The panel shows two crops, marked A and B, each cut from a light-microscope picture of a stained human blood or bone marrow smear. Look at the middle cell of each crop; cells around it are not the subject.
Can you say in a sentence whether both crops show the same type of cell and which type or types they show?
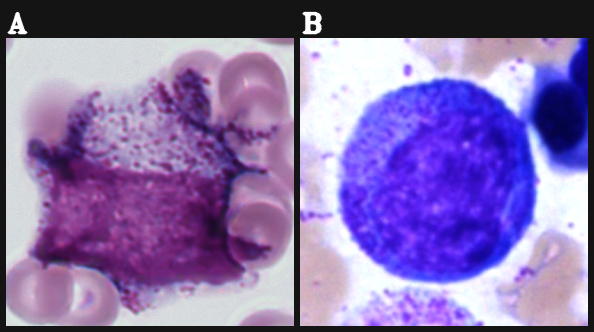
Yes, the centre cells of both crops are promyelocytes.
